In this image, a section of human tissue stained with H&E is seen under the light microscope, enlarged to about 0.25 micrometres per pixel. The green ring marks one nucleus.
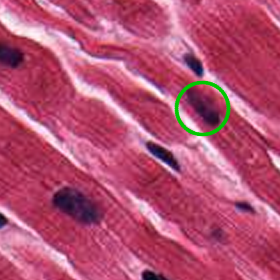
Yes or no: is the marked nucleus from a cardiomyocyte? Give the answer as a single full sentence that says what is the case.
Yes, the marked nucleus is assigned to a cardiomyocyte.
